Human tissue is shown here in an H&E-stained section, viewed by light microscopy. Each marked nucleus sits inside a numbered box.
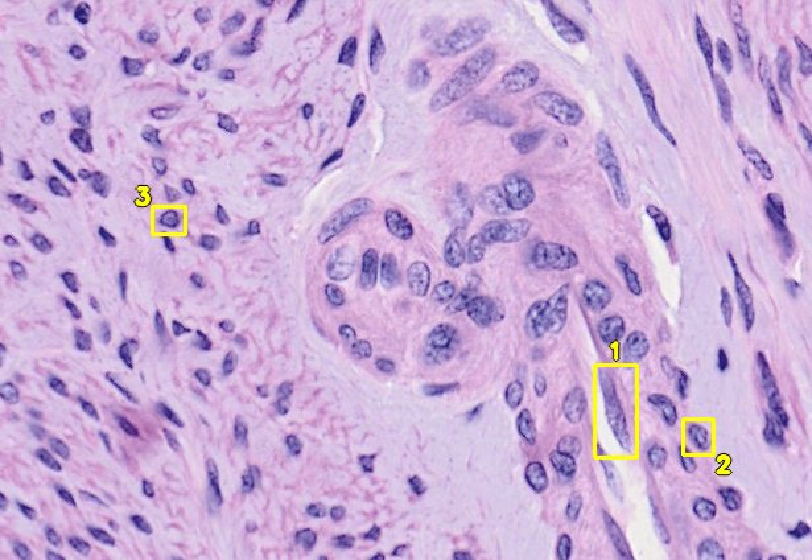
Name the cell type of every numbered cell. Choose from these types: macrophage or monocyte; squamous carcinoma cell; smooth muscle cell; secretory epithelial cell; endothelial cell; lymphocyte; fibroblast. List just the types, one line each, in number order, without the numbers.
endothelial cell
smooth muscle cell
smooth muscle cell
